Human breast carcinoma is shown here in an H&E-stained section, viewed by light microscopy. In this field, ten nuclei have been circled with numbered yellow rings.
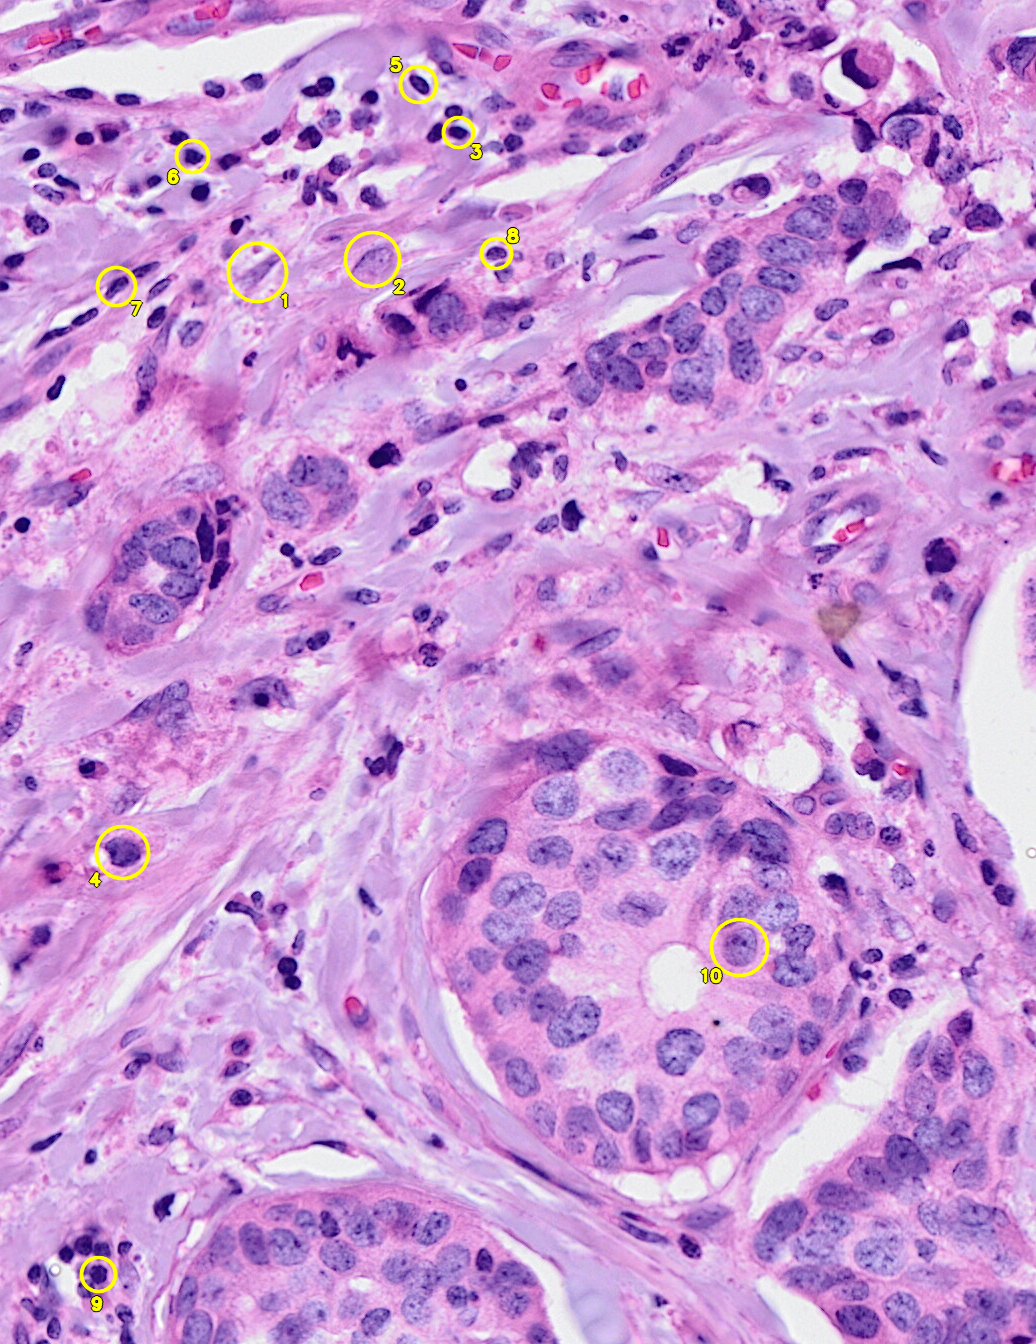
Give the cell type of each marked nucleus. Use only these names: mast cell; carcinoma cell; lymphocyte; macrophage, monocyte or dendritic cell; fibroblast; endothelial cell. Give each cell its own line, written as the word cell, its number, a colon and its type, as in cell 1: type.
cell 1: fibroblast
cell 2: fibroblast
cell 3: lymphocyte
cell 4: carcinoma cell
cell 5: lymphocyte
cell 6: lymphocyte
cell 7: lymphocyte
cell 8: lymphocyte
cell 9: lymphocyte
cell 10: carcinoma cell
